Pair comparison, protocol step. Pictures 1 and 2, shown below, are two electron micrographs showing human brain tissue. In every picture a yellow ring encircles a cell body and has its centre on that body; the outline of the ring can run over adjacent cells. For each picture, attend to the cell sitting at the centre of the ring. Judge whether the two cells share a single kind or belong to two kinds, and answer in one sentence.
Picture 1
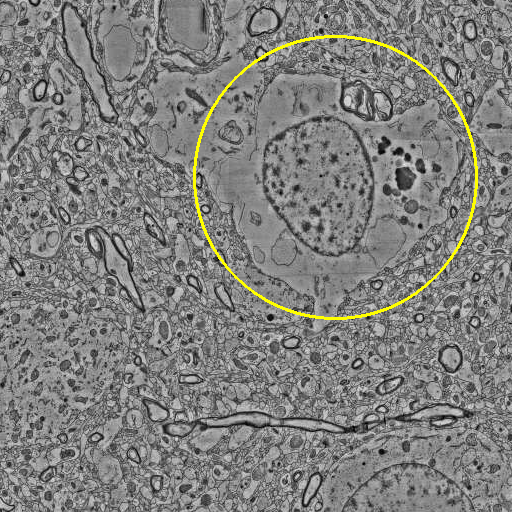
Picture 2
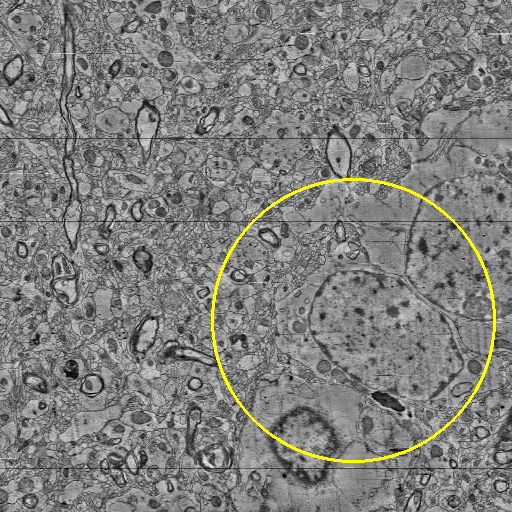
The two cells at the ring centres in Picture 1 and Picture 2 share a single kind.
